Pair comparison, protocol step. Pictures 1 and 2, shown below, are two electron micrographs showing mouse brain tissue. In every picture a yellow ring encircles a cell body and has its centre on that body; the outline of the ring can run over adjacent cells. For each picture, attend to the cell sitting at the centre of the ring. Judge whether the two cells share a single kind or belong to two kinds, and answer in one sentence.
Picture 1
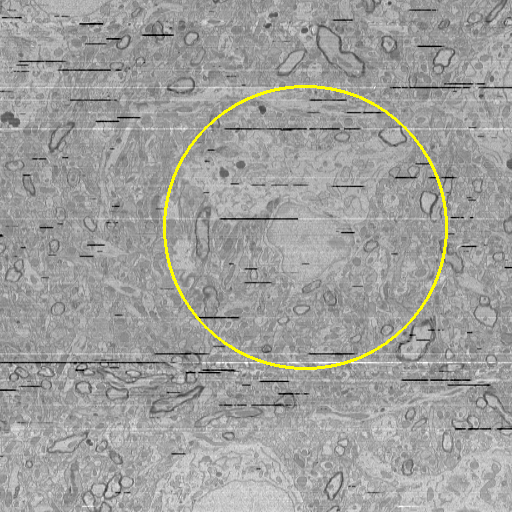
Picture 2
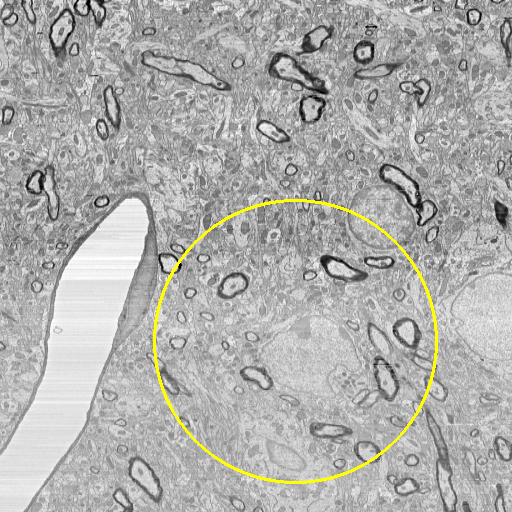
The two cells at the ring centres in Picture 1 and Picture 2 share a single kind.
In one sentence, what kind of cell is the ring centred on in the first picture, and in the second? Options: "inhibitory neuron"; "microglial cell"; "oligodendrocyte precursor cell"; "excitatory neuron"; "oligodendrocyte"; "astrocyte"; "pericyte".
The first and the second cell are each an oligodendrocyte precursor cell.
